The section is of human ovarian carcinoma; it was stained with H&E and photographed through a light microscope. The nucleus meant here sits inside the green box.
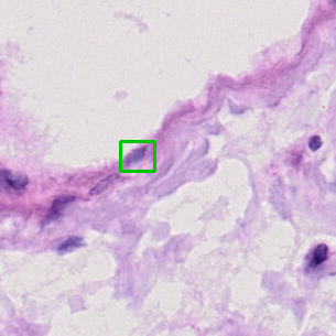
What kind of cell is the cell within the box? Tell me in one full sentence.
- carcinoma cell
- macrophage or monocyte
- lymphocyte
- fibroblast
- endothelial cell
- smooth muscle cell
In short, the cell within the box on this section is an endothelial cell.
